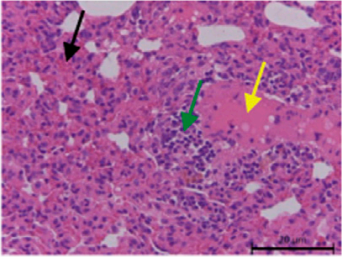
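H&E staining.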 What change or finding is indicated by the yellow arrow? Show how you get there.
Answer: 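Serous exudation in the alveolar cavities. The arrow points to a homogeneous pale pink, nearly cell-free material filling an air space. The material lies among lung tissue with alveolar spaces.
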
